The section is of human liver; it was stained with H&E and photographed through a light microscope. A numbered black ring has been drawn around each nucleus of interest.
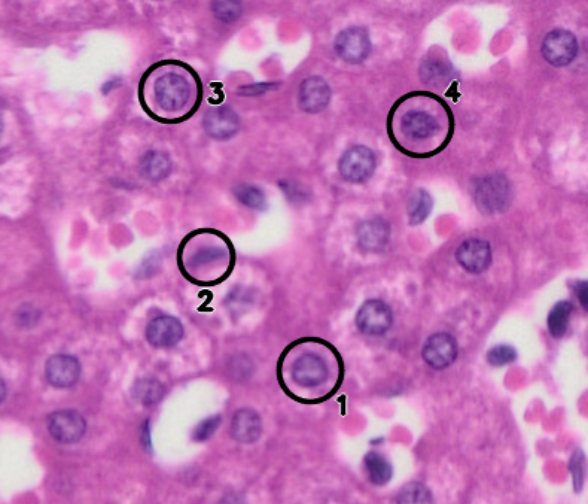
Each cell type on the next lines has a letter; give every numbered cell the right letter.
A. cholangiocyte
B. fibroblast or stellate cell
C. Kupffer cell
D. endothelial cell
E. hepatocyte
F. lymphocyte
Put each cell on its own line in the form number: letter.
1: E
2: B
3: E
4: E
